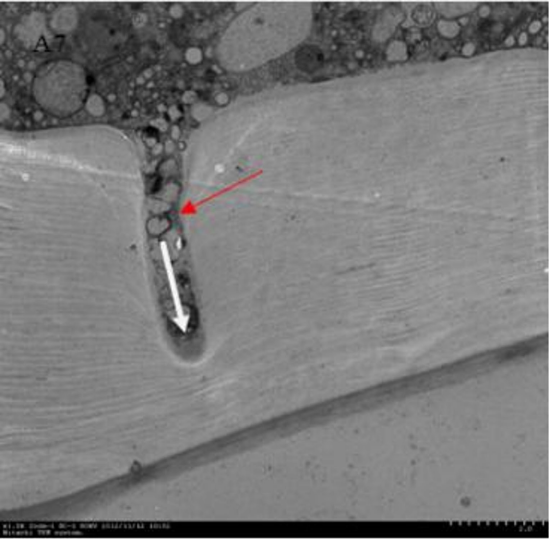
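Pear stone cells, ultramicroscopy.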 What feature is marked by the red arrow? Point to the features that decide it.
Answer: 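A narrow canal runs from the cytoplasm down into the thick wall. The canal ends blindly inside the wall. The wall around the canal is finely layered.
Hence: Pits.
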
